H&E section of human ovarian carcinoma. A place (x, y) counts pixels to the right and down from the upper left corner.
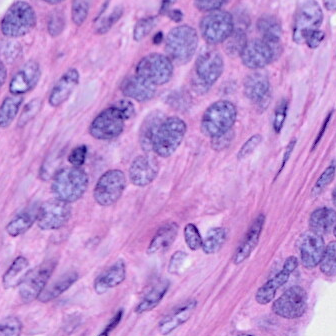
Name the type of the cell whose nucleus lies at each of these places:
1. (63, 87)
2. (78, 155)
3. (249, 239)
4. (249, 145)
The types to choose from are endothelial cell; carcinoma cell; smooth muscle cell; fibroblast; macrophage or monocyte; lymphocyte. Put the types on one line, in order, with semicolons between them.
fibroblast; lymphocyte; fibroblast; fibroblast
